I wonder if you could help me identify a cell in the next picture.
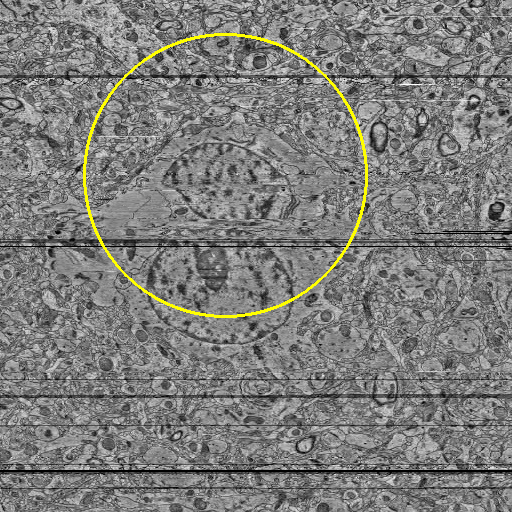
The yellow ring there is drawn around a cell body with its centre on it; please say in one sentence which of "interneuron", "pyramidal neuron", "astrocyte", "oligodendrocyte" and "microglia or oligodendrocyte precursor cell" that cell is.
The yellow ring is centred on an astrocyte.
